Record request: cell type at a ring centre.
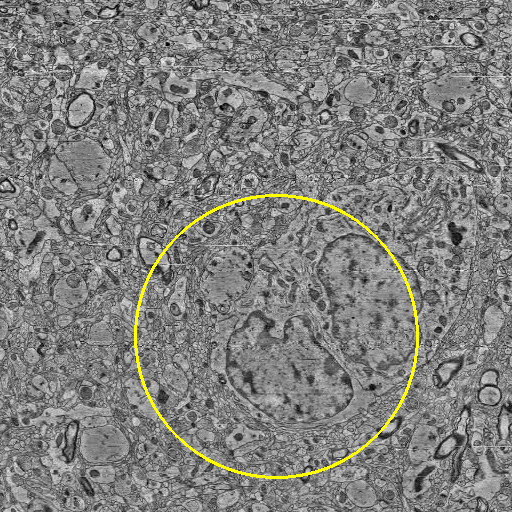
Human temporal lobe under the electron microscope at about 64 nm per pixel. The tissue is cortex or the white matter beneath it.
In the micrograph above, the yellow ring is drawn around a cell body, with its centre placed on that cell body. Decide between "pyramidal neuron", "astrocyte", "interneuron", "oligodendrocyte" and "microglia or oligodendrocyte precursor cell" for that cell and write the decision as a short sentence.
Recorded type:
The cell centred in the yellow ring is a microglial cell or oligodendrocyte precursor cell.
